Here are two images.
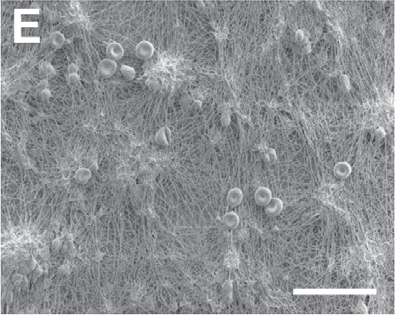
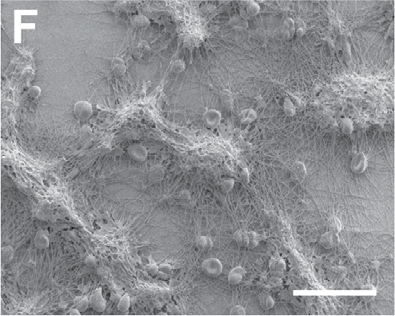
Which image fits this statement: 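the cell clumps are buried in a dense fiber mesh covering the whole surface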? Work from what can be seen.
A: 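Second image: fibers radiate from separate clumps with bare smooth surface between them. First image: a continuous dense fiber network covers the surface with clumps embedded in it.
Conclusion: the first image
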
